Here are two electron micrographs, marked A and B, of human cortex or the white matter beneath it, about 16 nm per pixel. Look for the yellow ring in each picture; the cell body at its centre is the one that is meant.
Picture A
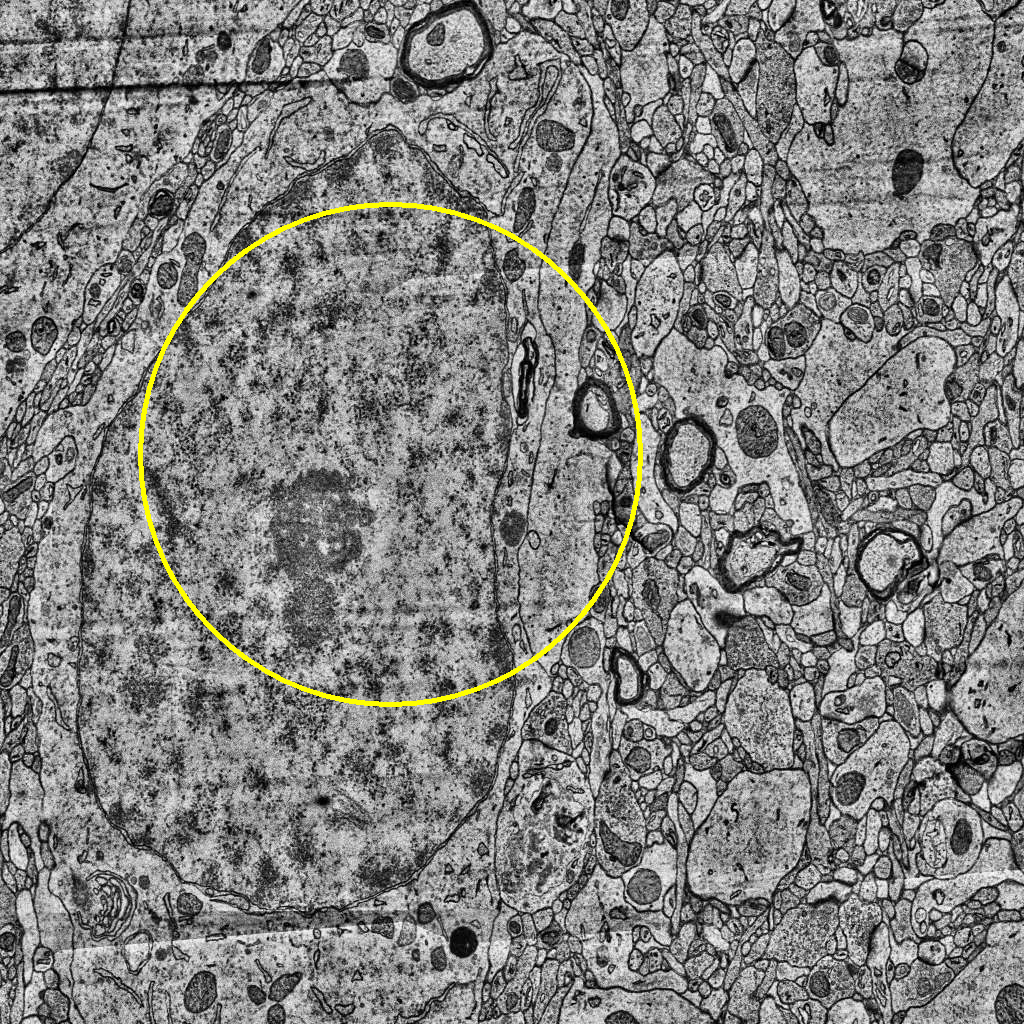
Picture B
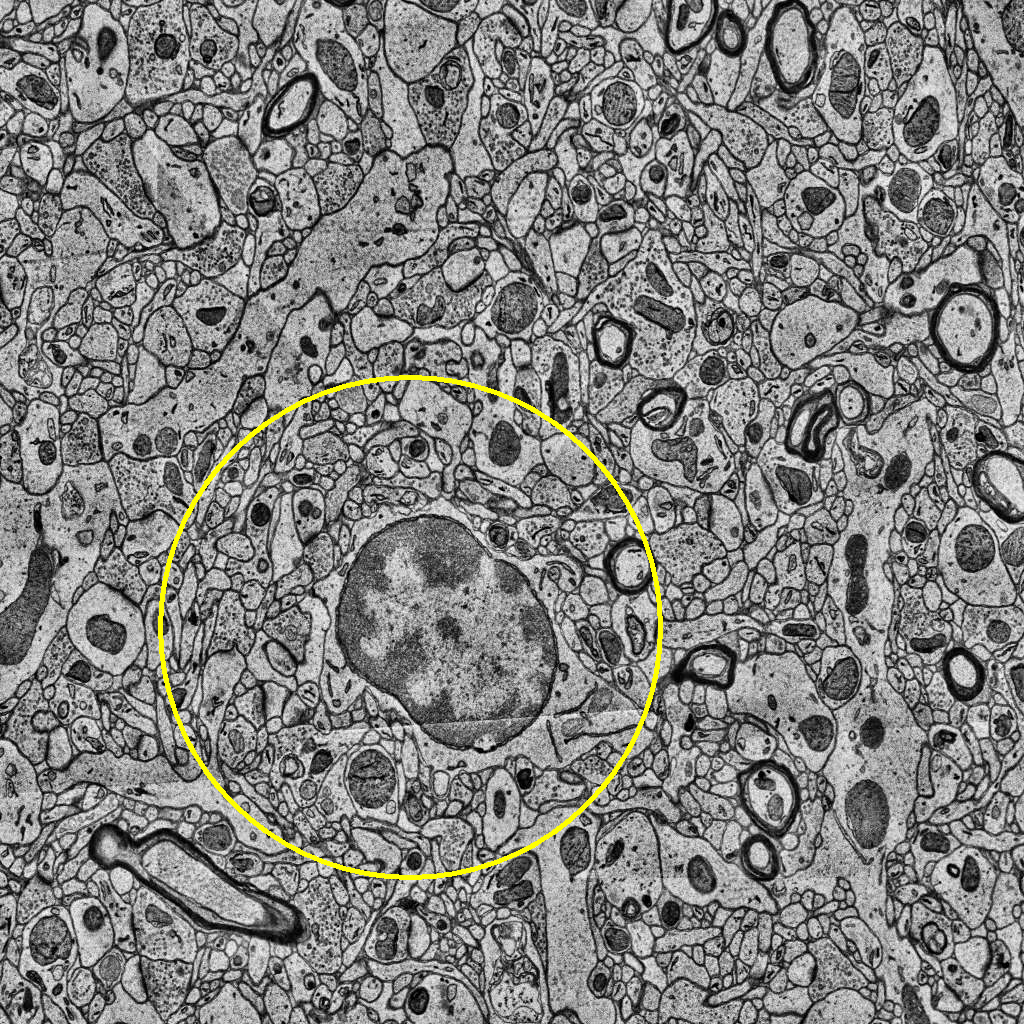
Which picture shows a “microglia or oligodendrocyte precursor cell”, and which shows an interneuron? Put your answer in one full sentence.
Picture A is of an interneuron, and picture B is of a “microglia or oligodendrocyte precursor cell”.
